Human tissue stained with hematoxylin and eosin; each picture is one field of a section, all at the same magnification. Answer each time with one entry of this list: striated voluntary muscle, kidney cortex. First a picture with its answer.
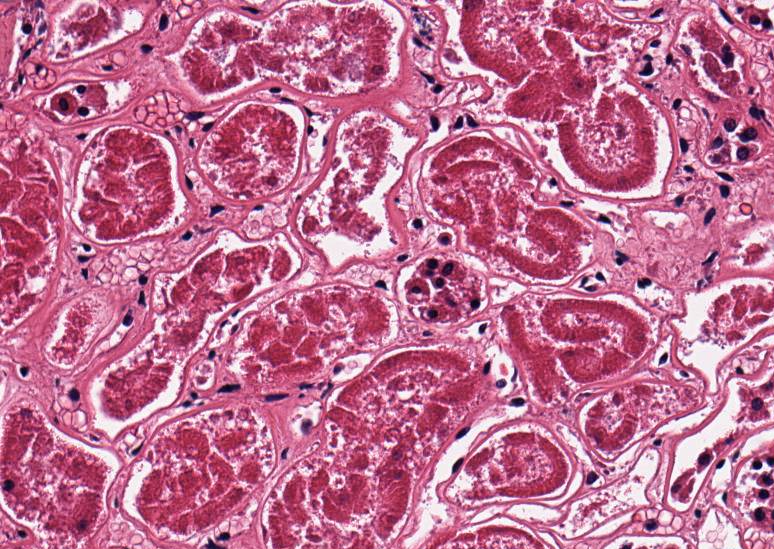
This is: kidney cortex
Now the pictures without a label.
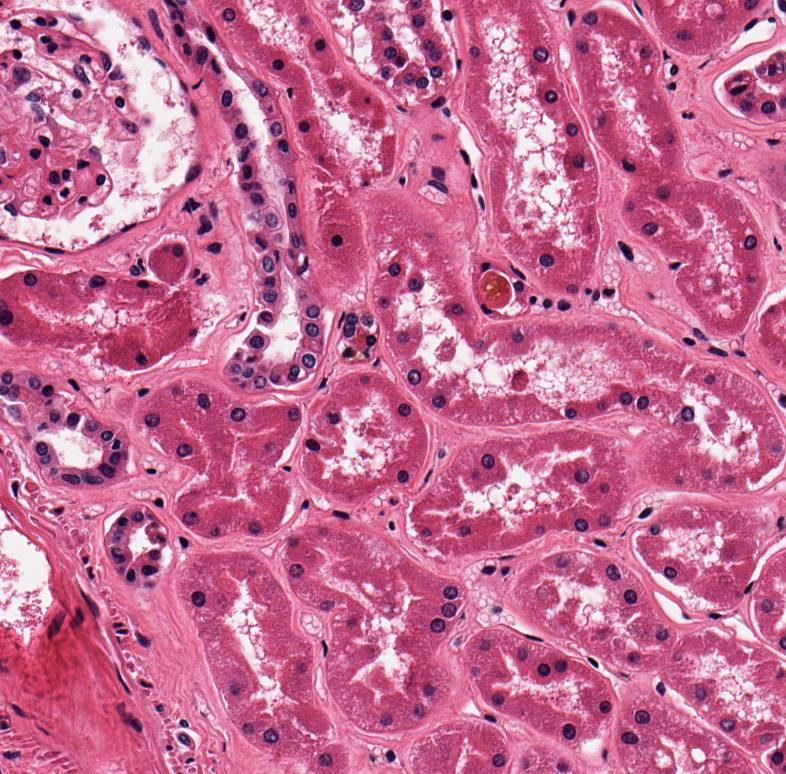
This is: kidney cortex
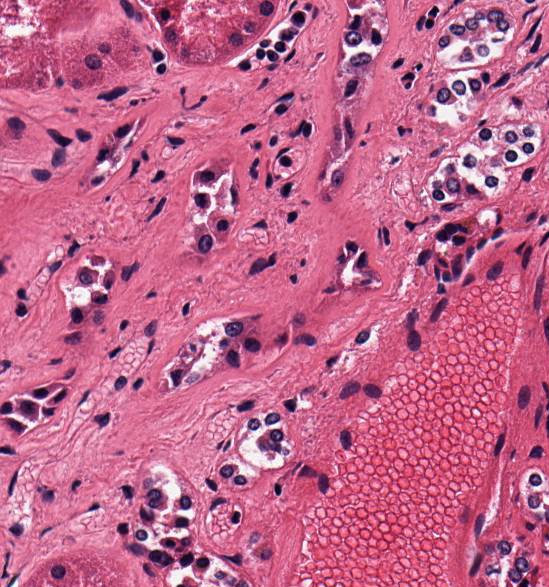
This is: kidney cortex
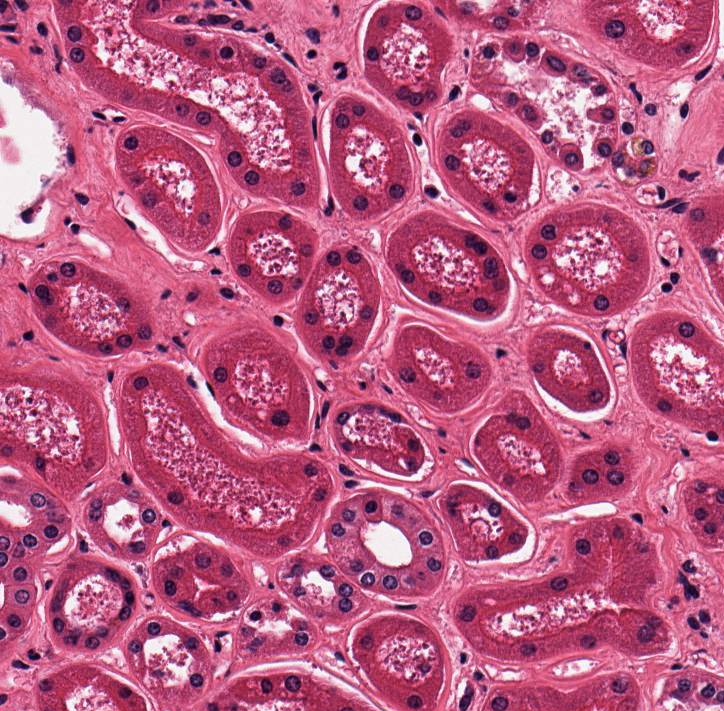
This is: kidney cortex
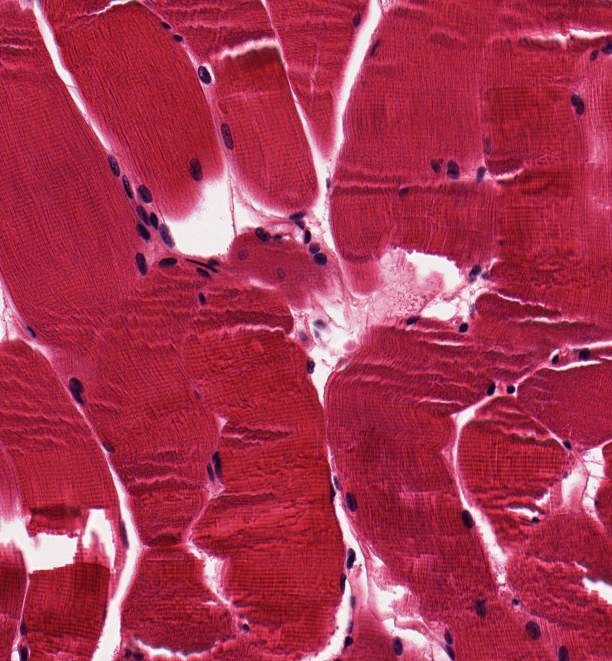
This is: striated voluntary muscle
